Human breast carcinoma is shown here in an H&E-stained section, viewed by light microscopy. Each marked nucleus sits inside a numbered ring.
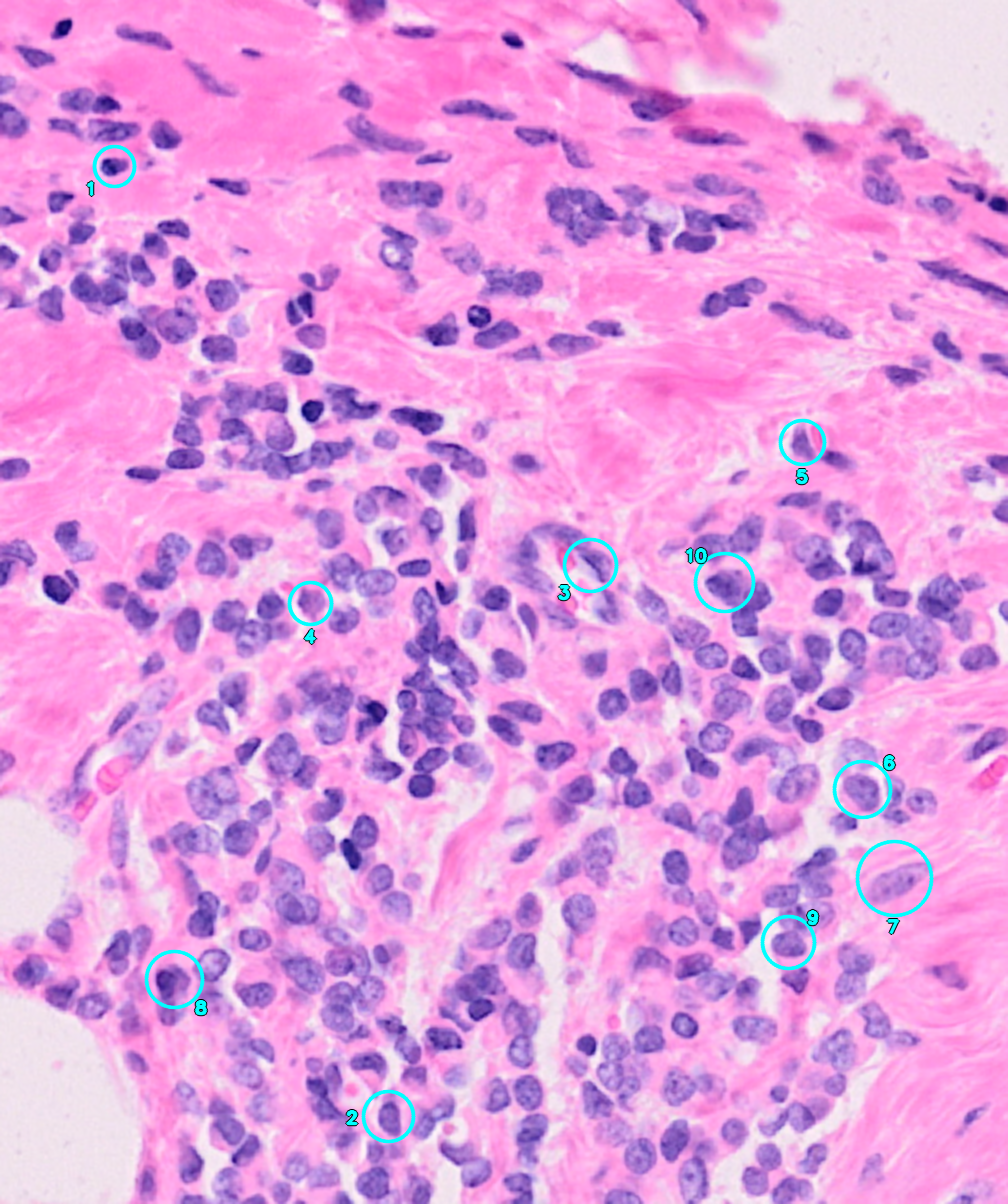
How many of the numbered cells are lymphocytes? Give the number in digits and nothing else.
1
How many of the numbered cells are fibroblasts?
1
